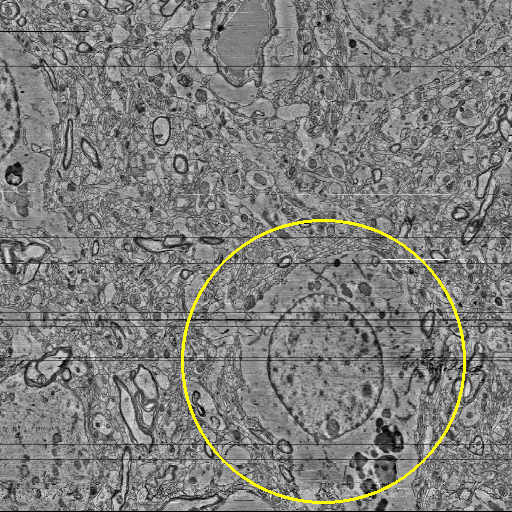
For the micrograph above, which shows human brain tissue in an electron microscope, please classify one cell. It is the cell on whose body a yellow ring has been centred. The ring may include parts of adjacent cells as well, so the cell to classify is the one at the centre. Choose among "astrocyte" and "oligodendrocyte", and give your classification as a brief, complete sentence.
I classify this cell as an astrocyte.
